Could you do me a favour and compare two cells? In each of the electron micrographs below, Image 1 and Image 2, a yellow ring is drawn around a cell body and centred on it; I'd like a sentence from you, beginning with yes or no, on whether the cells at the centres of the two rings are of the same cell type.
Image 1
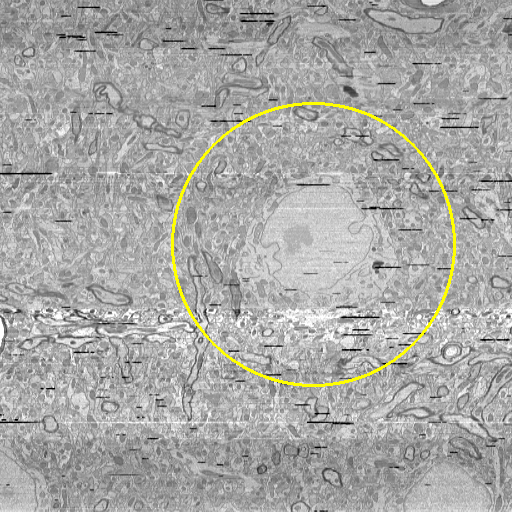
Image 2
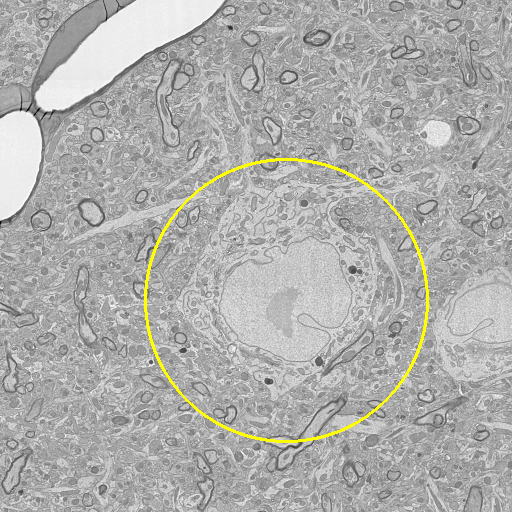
No, the two cells are of two cell types.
